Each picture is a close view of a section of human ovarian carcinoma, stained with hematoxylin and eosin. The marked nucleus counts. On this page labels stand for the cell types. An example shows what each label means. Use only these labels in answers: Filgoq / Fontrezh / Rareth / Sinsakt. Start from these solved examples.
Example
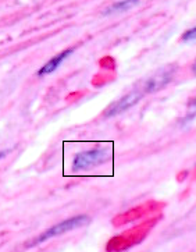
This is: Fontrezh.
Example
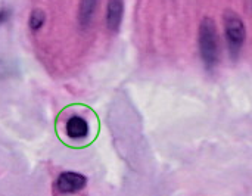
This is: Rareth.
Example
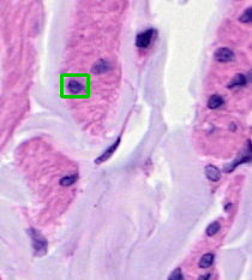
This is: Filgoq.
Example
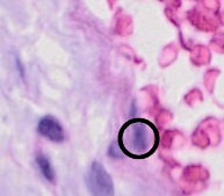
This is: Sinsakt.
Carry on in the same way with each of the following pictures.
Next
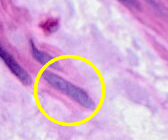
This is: Filgoq.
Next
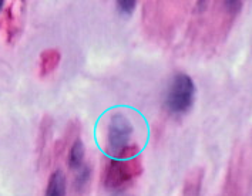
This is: Sinsakt.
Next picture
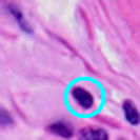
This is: Rareth.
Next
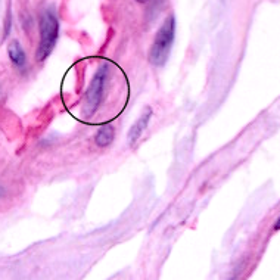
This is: Sinsakt.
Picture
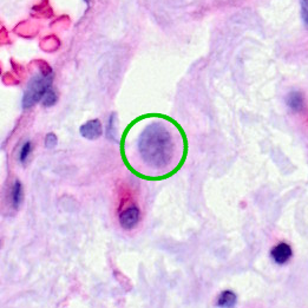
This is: Sinsakt.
